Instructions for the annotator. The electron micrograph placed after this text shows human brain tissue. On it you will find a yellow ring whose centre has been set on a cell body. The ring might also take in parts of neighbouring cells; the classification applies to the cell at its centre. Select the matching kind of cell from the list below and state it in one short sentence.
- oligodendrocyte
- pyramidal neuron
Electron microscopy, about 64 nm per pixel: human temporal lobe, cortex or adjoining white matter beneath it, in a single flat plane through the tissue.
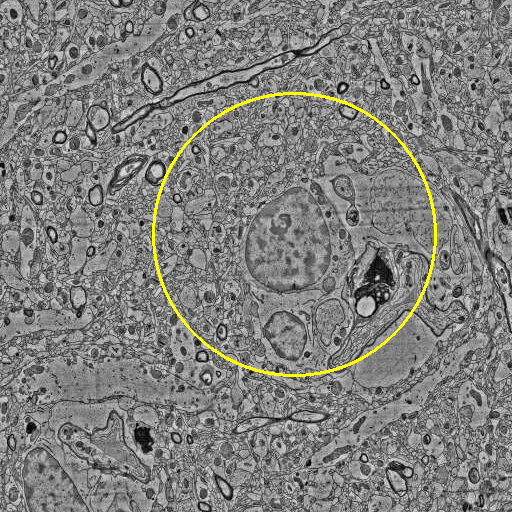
The ring is drawn on the cell body of an oligodendrocyte.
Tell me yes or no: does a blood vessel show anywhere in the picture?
Yes, there is one.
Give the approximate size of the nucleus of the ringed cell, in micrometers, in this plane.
The ringed cell's nucleus measures approximately 7 by 5 micrometres in this plane.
